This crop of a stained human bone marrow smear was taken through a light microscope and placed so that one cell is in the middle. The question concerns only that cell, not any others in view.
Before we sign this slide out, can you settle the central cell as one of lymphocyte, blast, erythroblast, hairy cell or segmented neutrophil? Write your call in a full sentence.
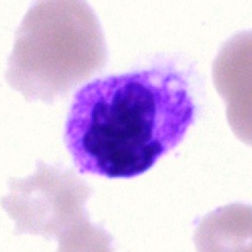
The centrally positioned cell in the crop represents a segmented neutrophil.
